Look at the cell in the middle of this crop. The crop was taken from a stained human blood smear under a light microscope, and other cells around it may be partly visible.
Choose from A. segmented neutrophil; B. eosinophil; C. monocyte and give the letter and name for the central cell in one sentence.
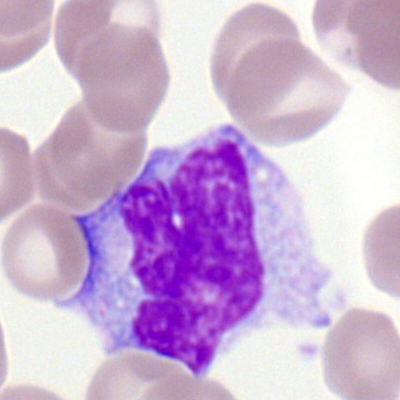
The cell at the centre, correctly named in option C, is a monocyte.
